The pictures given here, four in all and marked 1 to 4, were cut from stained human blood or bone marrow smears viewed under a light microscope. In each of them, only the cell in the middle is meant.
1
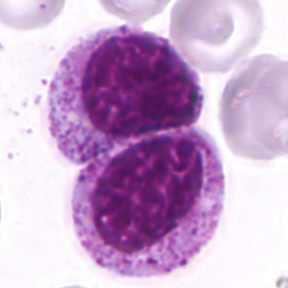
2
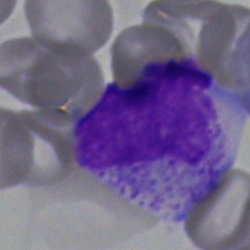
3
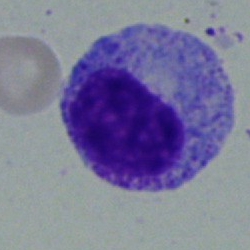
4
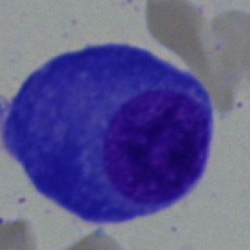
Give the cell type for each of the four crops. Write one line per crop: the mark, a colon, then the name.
1: myelocyte
2: myelocyte
3: myelocyte
4: plasma cell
